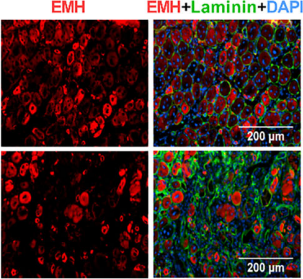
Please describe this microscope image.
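Cross-sectioned muscle fibres are each outlined by a thin green boundary, with many of them filled by red that is often brighter at the rim. Blue nuclei sit between the fibres in the spaces along the green outlines. Fibres of differing size are present, and some outlined fibres lack the red fill.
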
